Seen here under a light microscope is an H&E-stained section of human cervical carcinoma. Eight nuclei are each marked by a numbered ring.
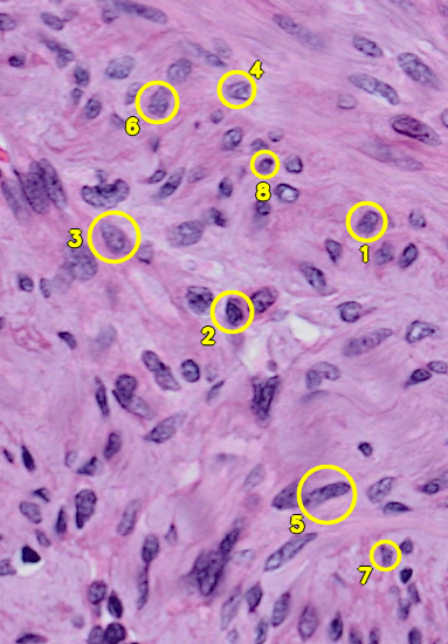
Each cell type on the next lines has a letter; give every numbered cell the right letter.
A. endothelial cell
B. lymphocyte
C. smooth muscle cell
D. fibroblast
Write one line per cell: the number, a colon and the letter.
1: C
2: B
3: A
4: C
5: D
6: C
7: C
8: C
